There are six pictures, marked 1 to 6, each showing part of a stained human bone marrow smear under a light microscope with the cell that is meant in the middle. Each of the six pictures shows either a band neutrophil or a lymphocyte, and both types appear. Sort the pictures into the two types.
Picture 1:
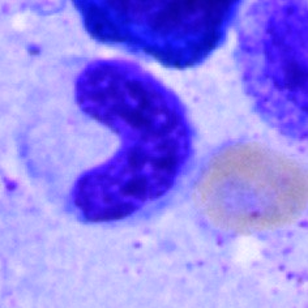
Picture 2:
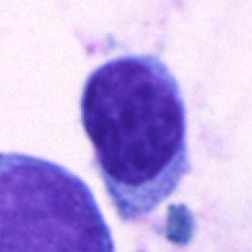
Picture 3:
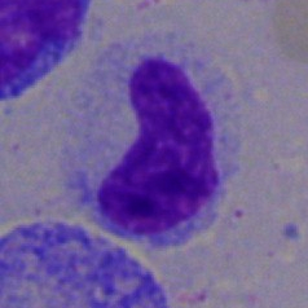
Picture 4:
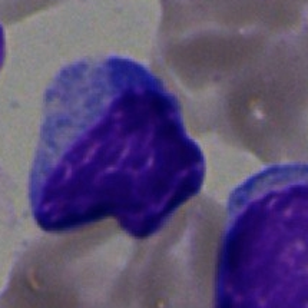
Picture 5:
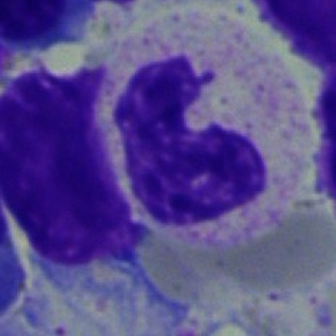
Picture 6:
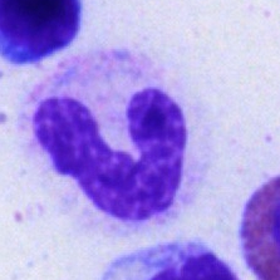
1: band neutrophil
2: lymphocyte
3: band neutrophil
4: lymphocyte
5: band neutrophil
6: band neutrophil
